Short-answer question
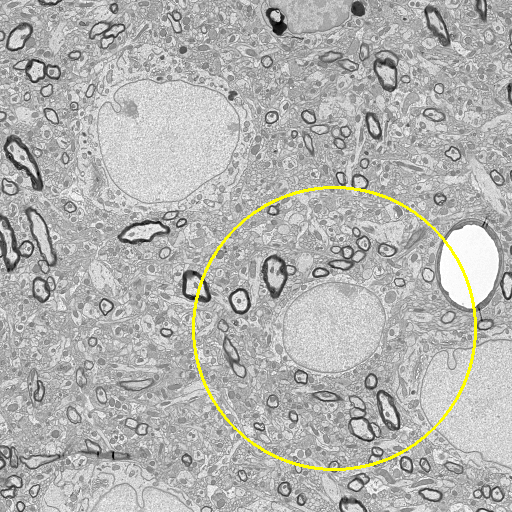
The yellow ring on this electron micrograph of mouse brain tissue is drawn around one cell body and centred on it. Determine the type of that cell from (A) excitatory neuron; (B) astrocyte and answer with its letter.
B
